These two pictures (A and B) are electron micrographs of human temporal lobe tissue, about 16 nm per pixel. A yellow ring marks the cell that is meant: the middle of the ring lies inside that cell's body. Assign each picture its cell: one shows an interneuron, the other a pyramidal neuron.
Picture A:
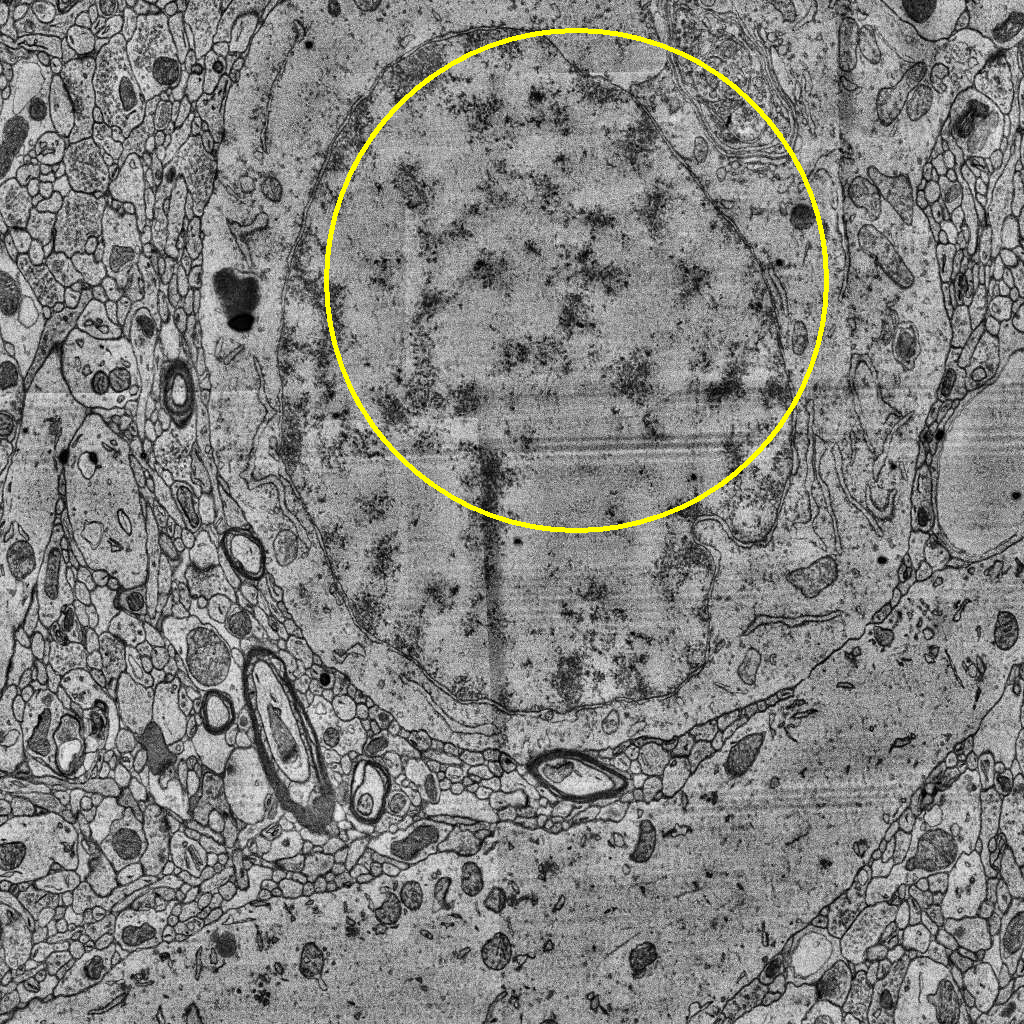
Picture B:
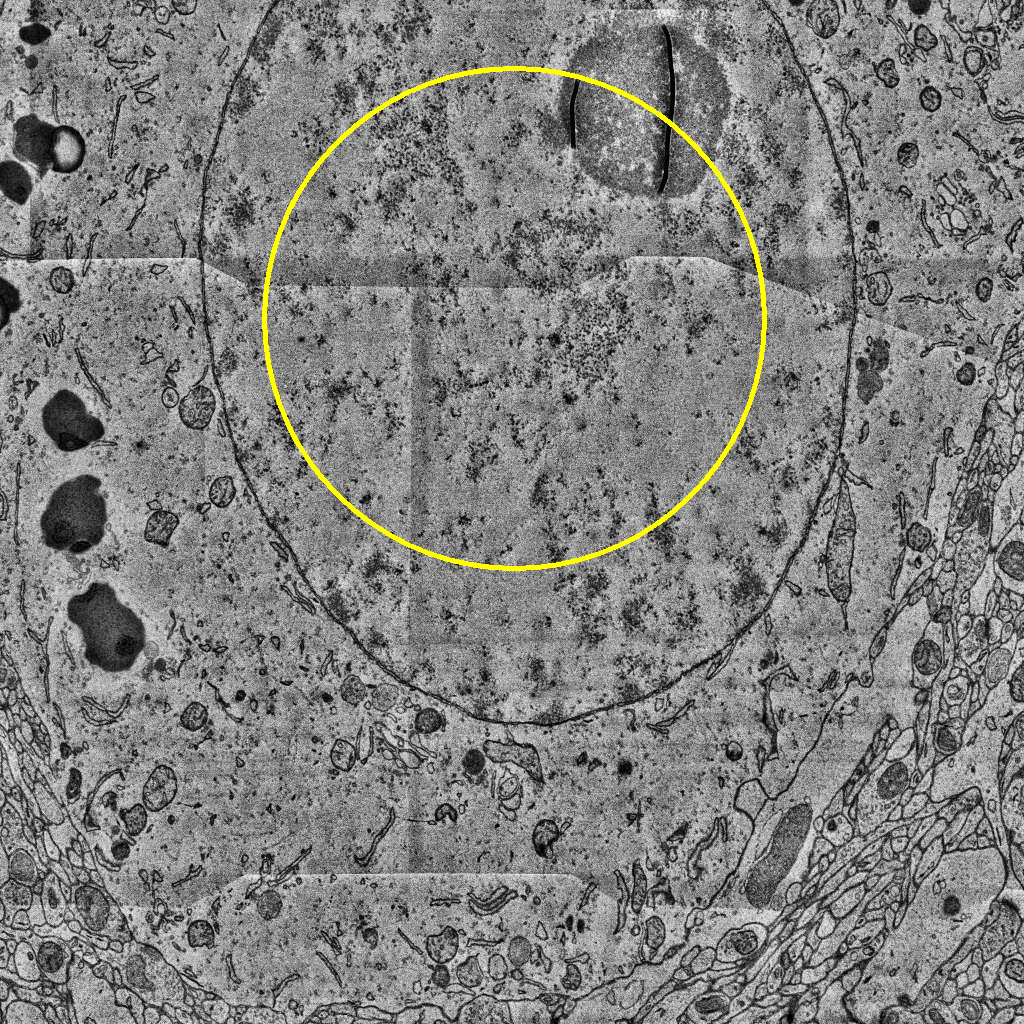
The cell in picture A is an interneuron, and the one in picture B is a pyramidal neuron.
